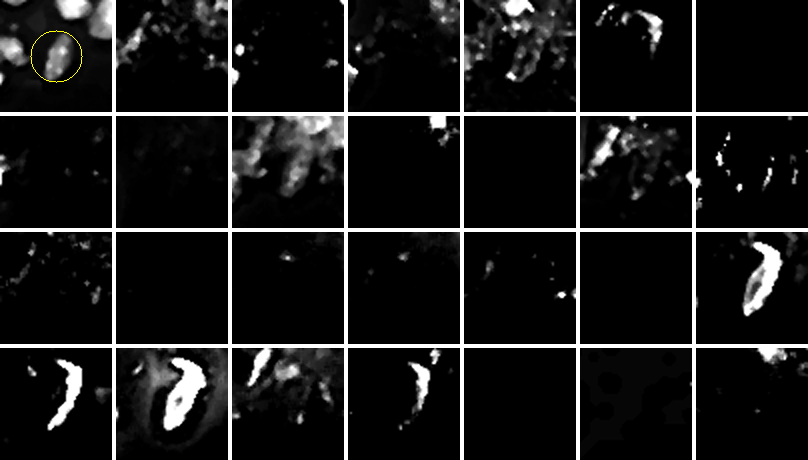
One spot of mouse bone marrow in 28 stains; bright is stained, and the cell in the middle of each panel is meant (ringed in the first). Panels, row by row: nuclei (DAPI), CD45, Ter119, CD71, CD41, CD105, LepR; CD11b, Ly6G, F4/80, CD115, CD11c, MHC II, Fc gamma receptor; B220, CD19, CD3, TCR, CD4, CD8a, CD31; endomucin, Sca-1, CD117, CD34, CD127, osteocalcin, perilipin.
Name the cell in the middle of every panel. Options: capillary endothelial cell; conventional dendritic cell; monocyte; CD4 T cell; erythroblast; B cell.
capillary endothelial cell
